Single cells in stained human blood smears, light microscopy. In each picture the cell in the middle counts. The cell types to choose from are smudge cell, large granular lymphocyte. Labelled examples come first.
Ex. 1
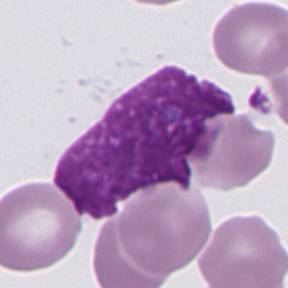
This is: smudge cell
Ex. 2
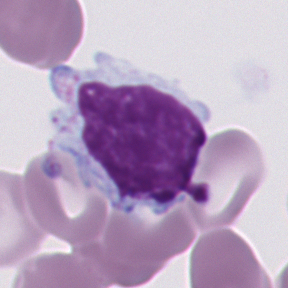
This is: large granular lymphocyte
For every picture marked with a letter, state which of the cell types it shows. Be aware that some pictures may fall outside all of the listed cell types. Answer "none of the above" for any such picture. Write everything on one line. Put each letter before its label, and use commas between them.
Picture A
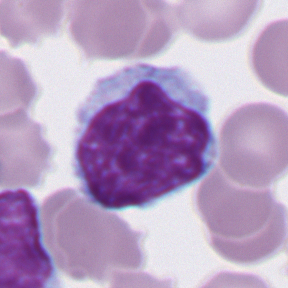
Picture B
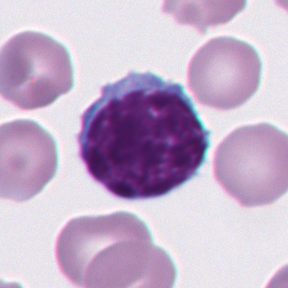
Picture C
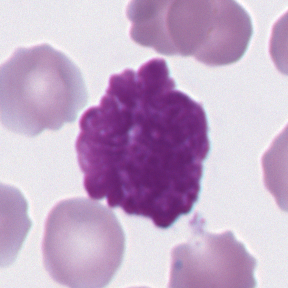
A none of the above, B none of the above, C smudge cell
